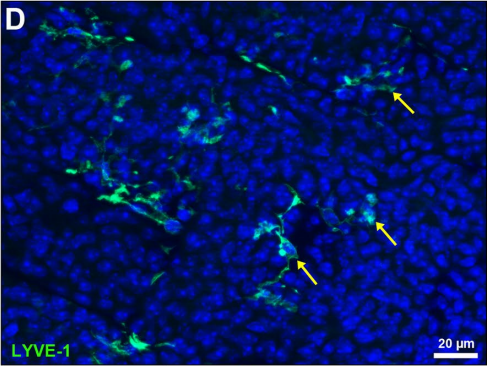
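Scattered among them are single cells with green, irregular bodies and thin branching processes. The green cells lie singly rather than forming tubes or vessels.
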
